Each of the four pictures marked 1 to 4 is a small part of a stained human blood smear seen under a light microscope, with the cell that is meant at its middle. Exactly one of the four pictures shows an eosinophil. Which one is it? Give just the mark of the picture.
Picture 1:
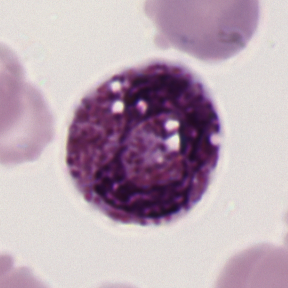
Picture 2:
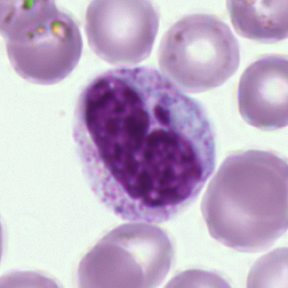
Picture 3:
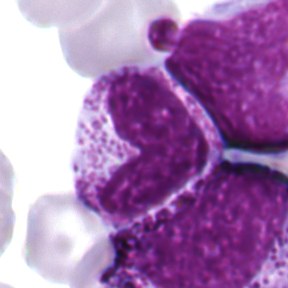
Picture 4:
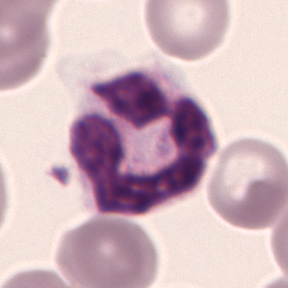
1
